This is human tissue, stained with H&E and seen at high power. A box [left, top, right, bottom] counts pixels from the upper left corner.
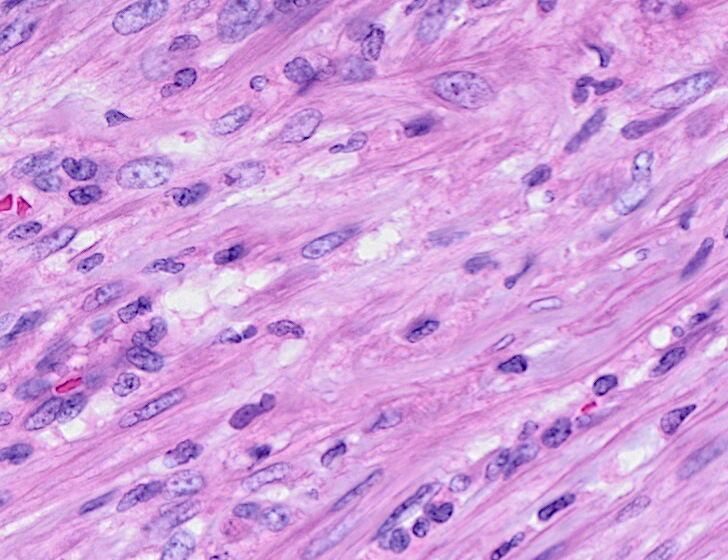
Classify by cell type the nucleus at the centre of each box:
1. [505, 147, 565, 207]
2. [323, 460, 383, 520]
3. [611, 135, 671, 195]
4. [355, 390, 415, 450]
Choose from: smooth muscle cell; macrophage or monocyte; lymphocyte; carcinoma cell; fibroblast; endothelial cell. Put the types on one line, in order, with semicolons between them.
macrophage or monocyte; fibroblast; fibroblast; fibroblast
